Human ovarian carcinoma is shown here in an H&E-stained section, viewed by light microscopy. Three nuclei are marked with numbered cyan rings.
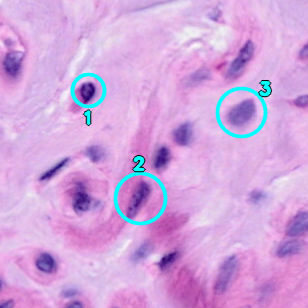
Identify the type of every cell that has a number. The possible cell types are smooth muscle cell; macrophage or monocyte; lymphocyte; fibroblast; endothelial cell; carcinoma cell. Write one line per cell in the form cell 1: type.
cell 1: lymphocyte
cell 2: smooth muscle cell
cell 3: fibroblast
